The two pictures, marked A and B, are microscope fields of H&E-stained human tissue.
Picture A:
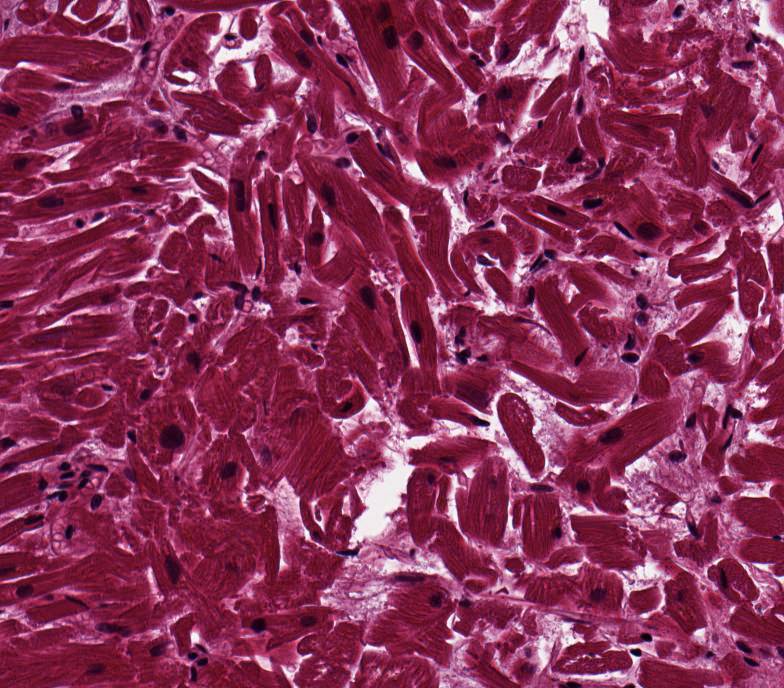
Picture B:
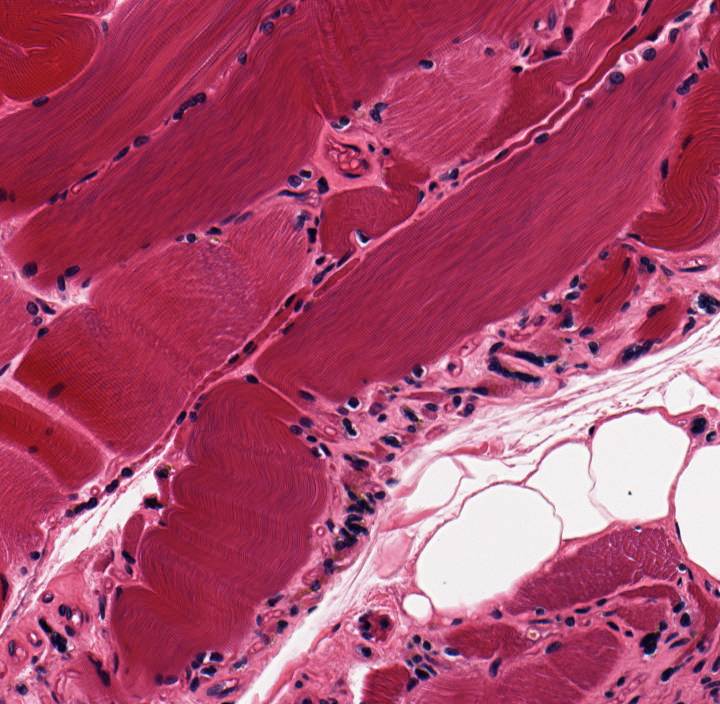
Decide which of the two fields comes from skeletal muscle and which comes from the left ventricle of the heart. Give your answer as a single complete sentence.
Picture A comes from the left ventricle of the heart; picture B comes from skeletal muscle.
